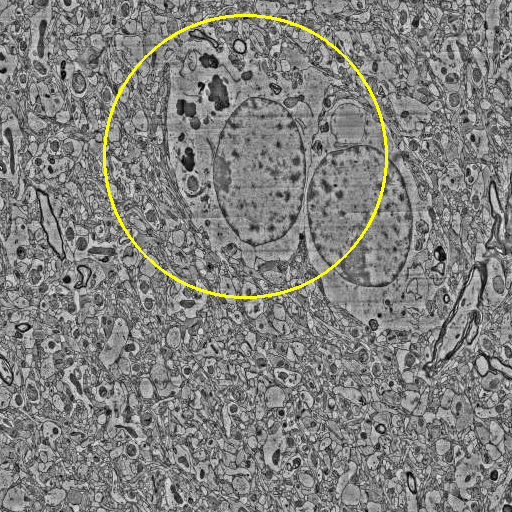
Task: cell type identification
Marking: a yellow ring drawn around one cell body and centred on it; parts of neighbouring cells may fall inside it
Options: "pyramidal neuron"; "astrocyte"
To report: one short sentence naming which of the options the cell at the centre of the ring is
The cell at the centre of the ring is an astrocyte.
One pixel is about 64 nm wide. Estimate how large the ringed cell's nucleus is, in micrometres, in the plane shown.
The nucleus comes to roughly 9 by 6 micrometres in this plane.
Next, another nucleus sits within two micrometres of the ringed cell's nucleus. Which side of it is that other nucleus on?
That other nucleus lies to the right of it.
